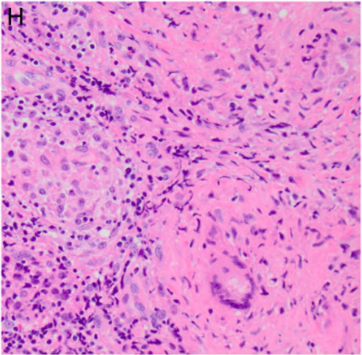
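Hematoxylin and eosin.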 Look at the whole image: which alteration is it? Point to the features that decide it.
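Compact clusters of pale pink epithelioid cells with a giant cell. No necrotic debris is seen. Small dark lymphocytes gather at the edges. So: non-necrotizing granulomas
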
